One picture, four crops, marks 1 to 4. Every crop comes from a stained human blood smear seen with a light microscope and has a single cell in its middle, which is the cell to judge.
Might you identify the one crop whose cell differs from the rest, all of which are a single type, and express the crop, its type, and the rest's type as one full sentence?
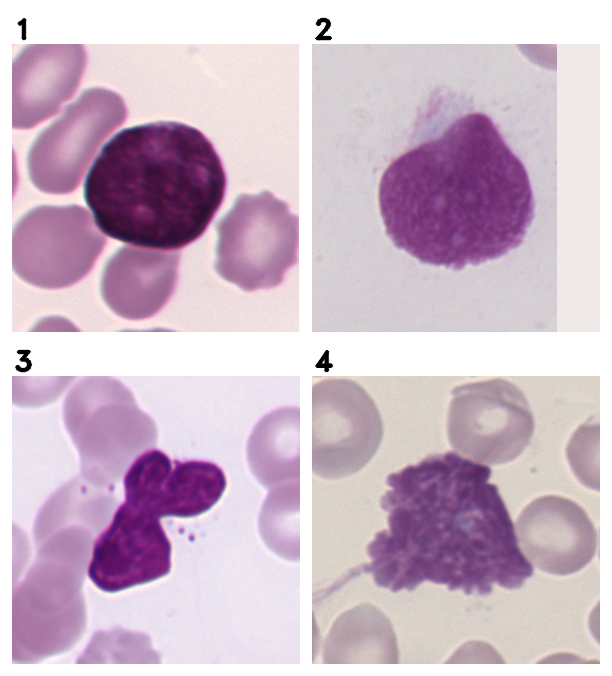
Here the outlier is crop 1, which is a myeloblast, and the rest are smudge cells.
